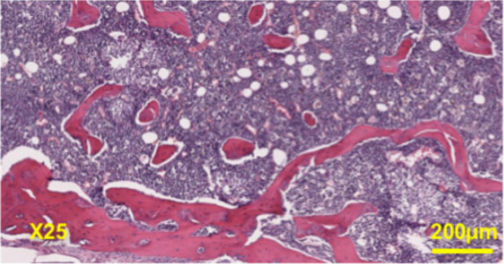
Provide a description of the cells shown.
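The trabeculae are irregular, branching strands and islands of eosinophilic bone matrix, with a thicker band of bone along the lower edge. Between them the space is packed with small, darkly staining round nuclei, giving a dense purple marrow appearance. Scattered through this cellular tissue are small, round, clear empty spaces, the remains of fat cells. No fibrous gap interrupts the bone here.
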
